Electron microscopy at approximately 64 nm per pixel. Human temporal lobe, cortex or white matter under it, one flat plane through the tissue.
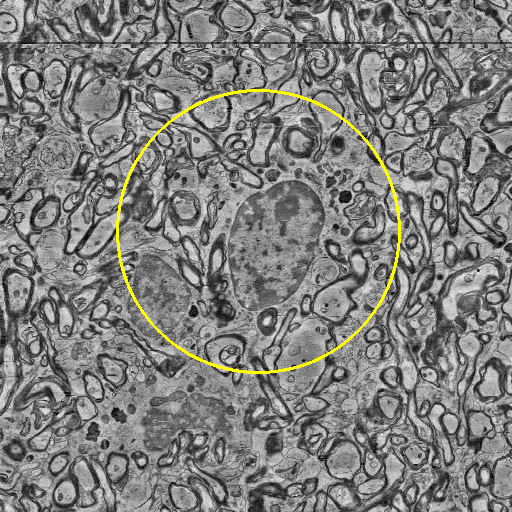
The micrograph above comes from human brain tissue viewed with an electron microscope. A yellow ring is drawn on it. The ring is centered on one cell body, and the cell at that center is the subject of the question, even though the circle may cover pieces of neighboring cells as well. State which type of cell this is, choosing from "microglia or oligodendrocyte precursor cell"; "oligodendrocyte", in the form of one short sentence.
The cell the ring is centered on is a microglial cell or oligodendrocyte precursor cell.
